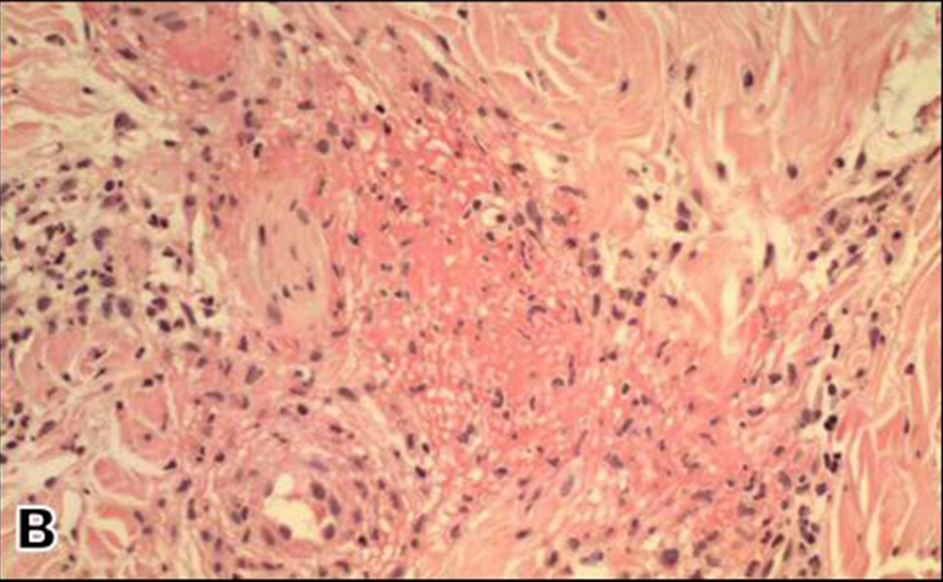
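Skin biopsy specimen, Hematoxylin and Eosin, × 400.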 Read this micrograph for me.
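In the dermis, a small blood vessel is replaced by a zone of smudgy, glassy bright pink material, and no intact lining of flattened cells is left along it. Many small dark nuclei, some irregular or fragmented, crowd in and around this zone among the pink collagen bundles. This is fibrinoid necrosis of a vessel wall with a surrounding inflammatory infiltrate, as in leucocytoclastic vasculitis.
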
